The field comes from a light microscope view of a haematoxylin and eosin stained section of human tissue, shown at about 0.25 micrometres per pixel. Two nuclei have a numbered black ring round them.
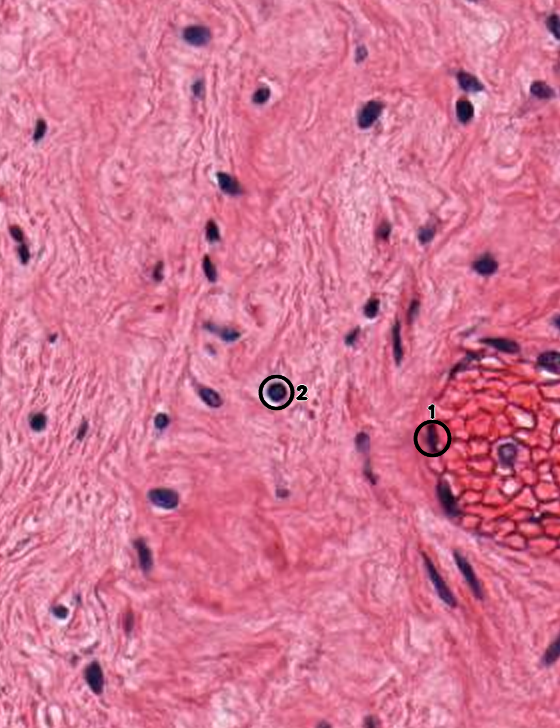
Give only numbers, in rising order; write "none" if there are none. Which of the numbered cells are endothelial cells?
1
